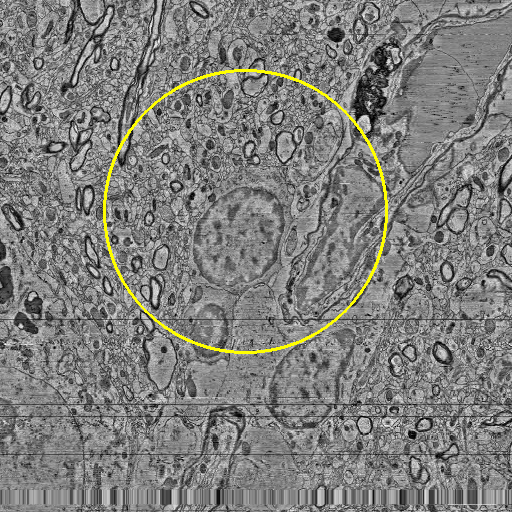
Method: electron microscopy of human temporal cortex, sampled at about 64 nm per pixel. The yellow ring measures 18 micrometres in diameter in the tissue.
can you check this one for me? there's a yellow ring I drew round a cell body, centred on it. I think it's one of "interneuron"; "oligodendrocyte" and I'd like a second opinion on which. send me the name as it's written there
oligodendrocyte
